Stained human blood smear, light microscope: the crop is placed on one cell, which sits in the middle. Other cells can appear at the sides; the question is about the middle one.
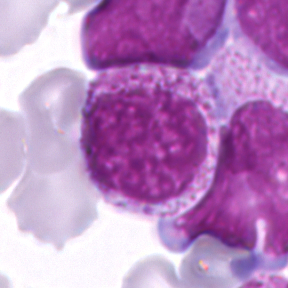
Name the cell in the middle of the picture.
myelocyte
